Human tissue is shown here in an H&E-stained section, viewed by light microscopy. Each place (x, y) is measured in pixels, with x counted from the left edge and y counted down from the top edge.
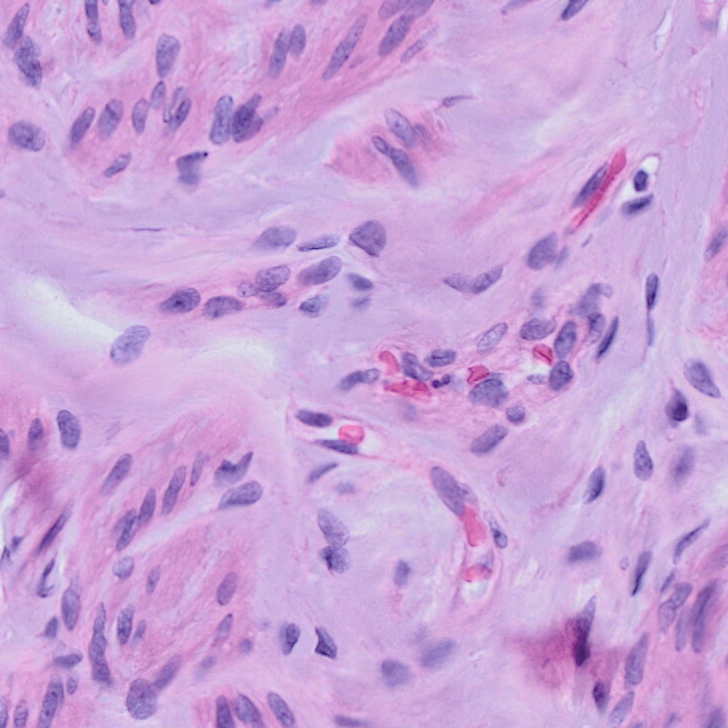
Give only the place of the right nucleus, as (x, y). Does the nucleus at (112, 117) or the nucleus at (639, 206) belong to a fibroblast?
(639, 206)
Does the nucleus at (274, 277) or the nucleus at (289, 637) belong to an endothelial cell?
(274, 277)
